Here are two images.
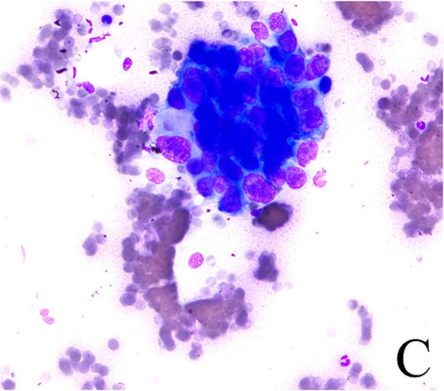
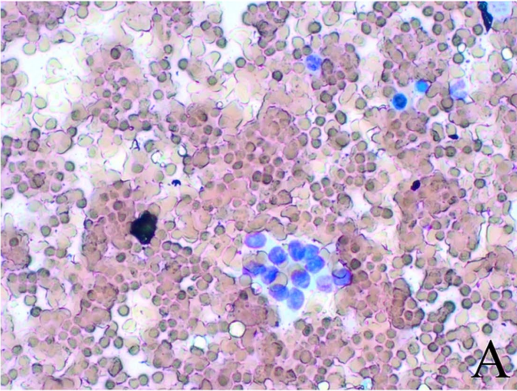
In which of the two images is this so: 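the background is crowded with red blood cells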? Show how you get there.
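Second image: red blood cells cover nearly the entire field, packed closely together.
The second image.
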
